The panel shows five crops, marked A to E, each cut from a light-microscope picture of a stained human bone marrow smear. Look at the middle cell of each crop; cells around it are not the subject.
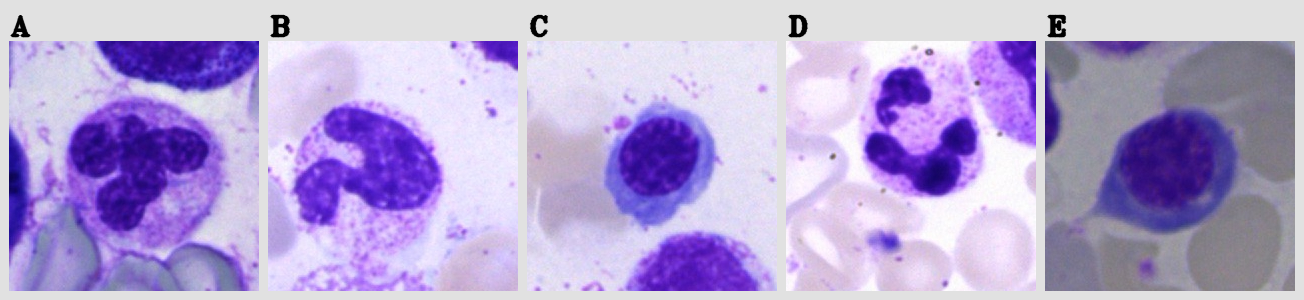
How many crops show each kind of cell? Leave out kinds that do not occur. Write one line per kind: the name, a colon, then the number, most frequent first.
neutrophil: 3
normoblast: 2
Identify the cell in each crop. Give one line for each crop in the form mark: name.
A: neutrophil
B: neutrophil
C: normoblast
D: neutrophil
E: normoblast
